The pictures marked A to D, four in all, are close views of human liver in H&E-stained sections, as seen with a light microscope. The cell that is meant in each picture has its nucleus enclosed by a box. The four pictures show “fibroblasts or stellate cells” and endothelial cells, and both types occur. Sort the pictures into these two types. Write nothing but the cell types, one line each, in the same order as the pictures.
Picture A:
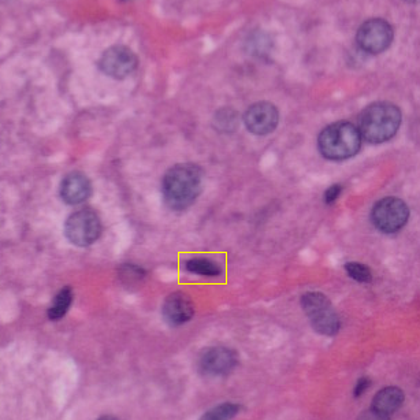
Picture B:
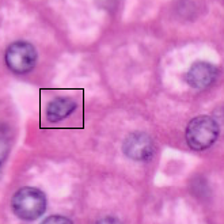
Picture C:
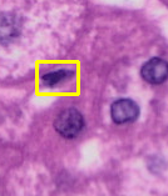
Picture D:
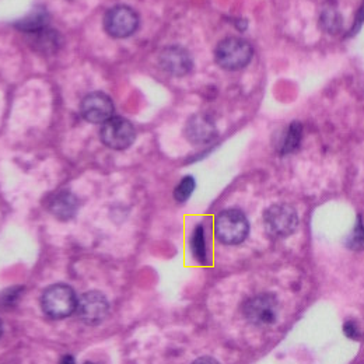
fibroblast or stellate cell
fibroblast or stellate cell
endothelial cell
fibroblast or stellate cell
